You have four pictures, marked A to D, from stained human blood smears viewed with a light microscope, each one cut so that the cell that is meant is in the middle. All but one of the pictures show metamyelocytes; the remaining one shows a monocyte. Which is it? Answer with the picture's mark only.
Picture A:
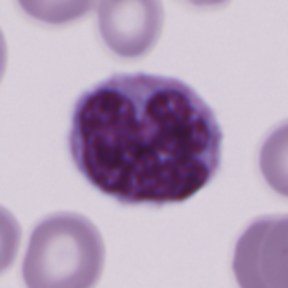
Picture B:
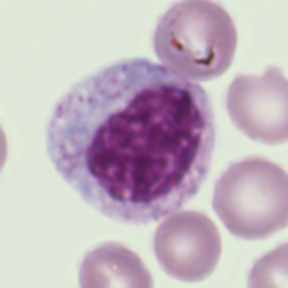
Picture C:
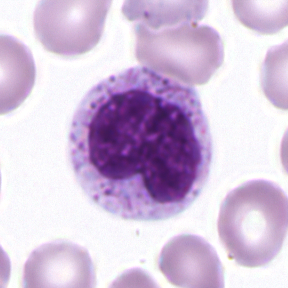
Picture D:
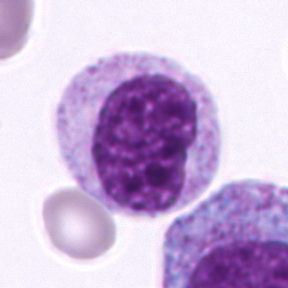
A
